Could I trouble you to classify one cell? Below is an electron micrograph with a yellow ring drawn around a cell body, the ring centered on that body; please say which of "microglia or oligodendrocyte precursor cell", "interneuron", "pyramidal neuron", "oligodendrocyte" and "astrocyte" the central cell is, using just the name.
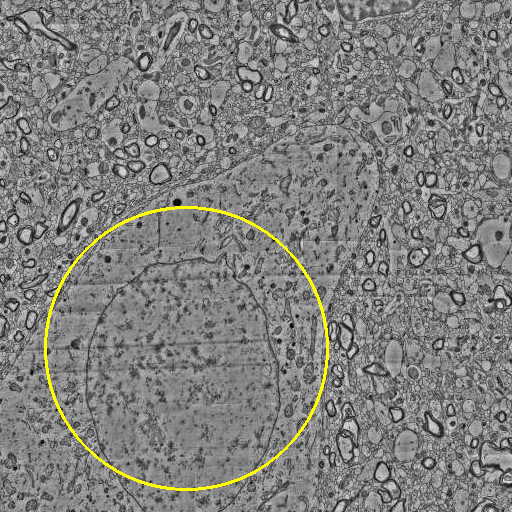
pyramidal neuron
